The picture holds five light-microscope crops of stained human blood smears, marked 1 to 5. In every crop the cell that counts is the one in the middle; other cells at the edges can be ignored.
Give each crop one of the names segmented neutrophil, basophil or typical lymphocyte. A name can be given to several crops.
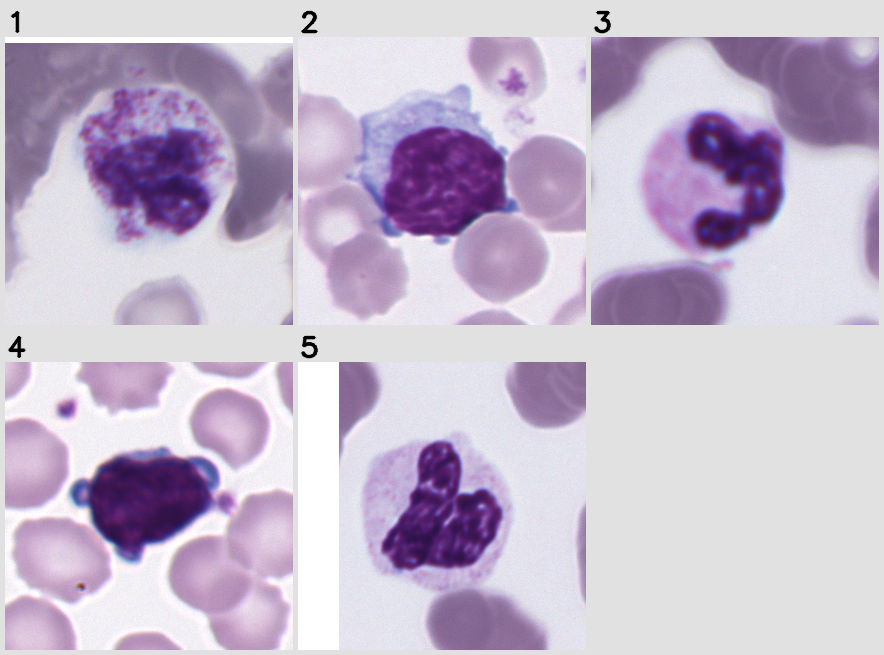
1: basophil
2: typical lymphocyte
3: segmented neutrophil
4: typical lymphocyte
5: segmented neutrophil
